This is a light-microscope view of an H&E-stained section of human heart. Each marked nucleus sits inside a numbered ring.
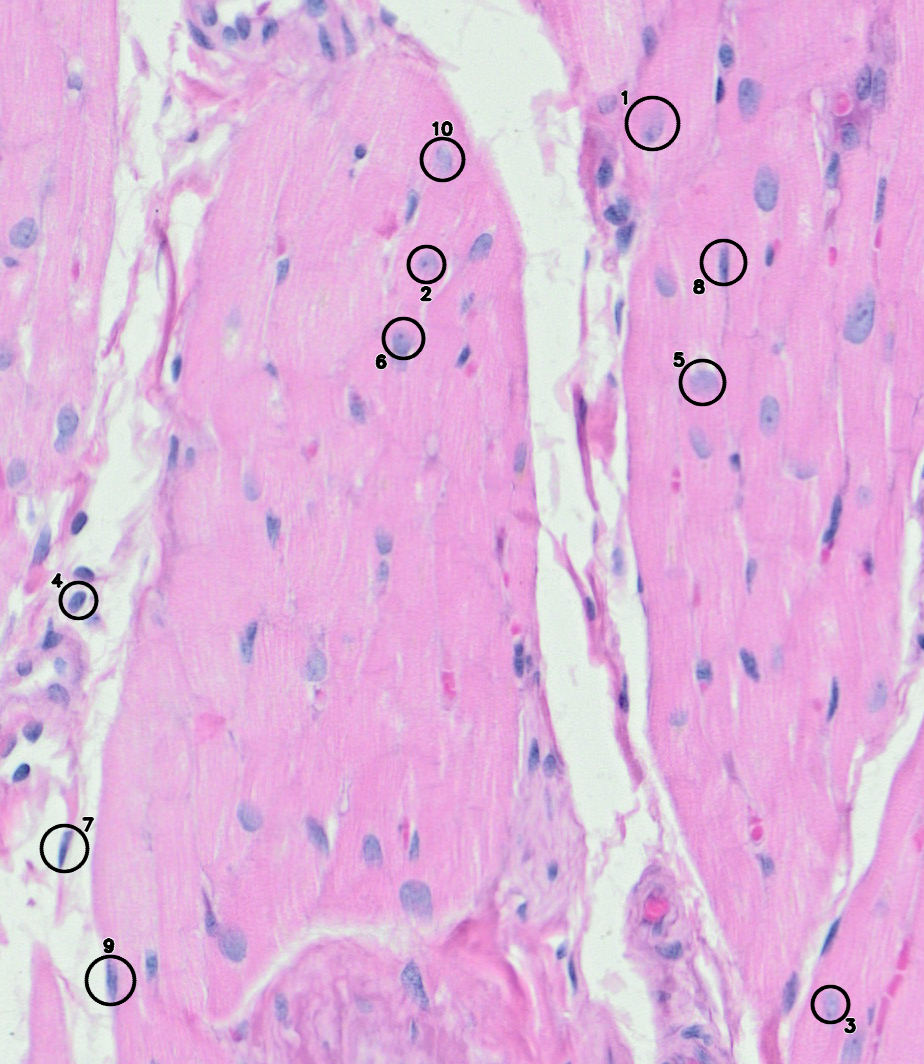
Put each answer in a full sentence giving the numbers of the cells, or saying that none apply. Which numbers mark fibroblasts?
The cells tagged 4 and 7 are fibroblasts in this tissue section.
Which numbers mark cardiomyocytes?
In short, the numbered cells 1, 2, 3, 5, 6 and 10 are cardiomyocytes.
